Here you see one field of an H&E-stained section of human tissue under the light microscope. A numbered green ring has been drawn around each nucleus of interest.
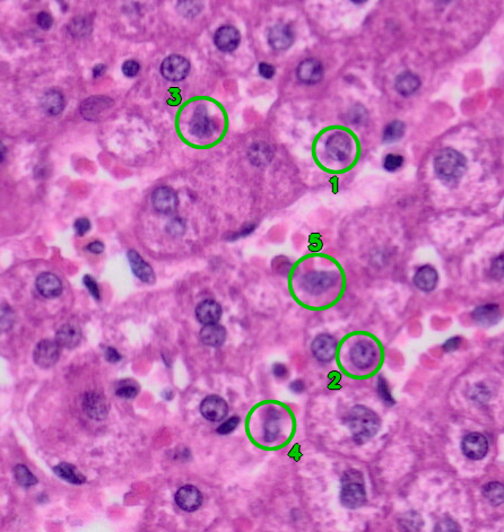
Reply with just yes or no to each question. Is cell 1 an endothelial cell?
no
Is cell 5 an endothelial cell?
yes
